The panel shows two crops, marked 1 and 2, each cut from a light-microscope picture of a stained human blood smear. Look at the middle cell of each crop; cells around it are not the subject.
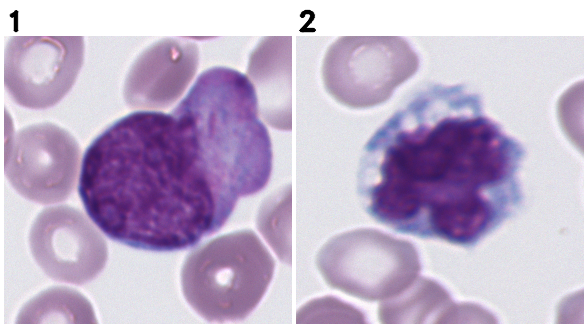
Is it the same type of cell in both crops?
no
